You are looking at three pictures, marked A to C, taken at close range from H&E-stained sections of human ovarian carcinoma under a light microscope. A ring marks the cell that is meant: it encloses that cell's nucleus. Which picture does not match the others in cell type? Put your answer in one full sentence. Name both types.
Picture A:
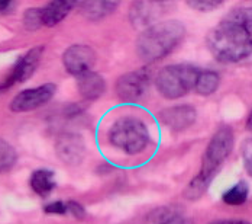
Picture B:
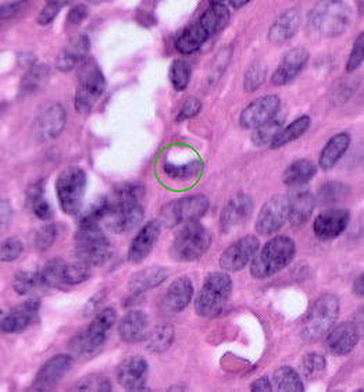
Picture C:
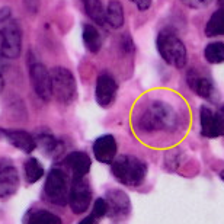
Picture B differs, because its cell is an endothelial cell and the rest are “macrophages or monocytes”.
